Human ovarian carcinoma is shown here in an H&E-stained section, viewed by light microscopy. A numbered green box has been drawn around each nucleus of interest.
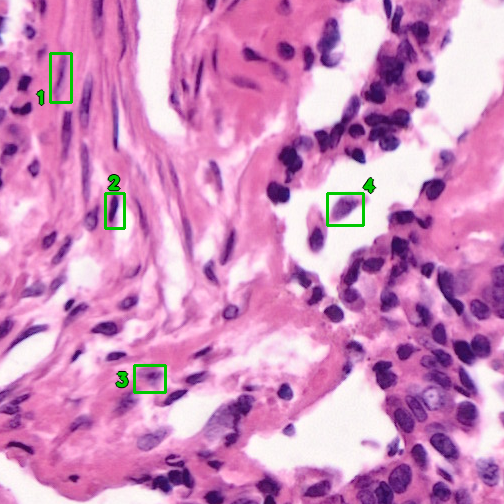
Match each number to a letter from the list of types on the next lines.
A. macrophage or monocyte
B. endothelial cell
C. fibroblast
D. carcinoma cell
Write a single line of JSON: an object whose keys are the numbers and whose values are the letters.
{"1": "C", "2": "C", "3": "C", "4": "D"}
